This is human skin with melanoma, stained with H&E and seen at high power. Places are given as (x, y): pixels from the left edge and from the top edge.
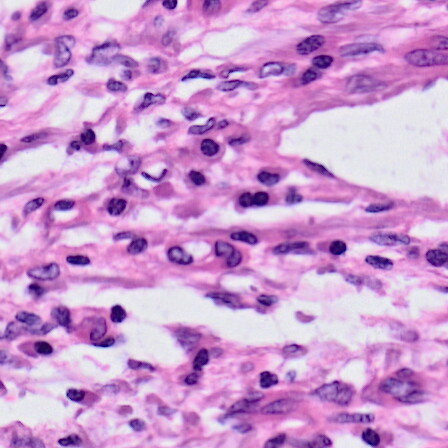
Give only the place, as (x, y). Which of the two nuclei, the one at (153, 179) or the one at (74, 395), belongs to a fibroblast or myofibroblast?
(153, 179)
